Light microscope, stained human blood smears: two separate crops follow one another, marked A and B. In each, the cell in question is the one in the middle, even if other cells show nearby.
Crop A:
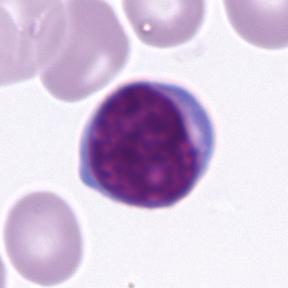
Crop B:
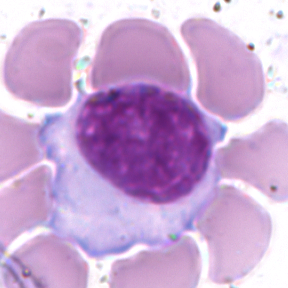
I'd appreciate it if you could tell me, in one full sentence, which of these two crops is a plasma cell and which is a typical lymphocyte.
Crop A contains a typical lymphocyte, and crop B, a plasma cell.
